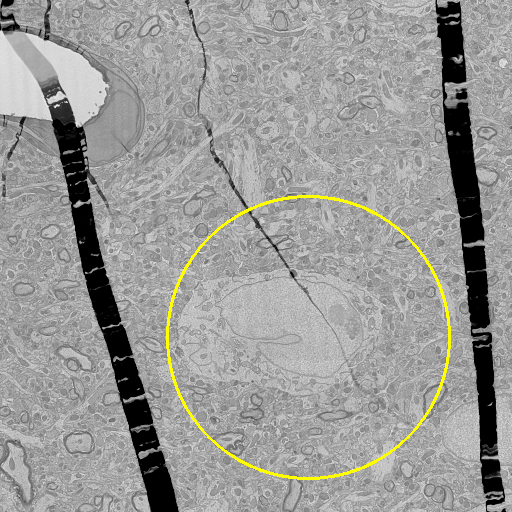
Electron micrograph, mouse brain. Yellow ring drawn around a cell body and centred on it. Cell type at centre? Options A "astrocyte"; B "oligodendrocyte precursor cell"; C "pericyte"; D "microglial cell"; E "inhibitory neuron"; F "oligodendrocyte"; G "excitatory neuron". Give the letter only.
E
